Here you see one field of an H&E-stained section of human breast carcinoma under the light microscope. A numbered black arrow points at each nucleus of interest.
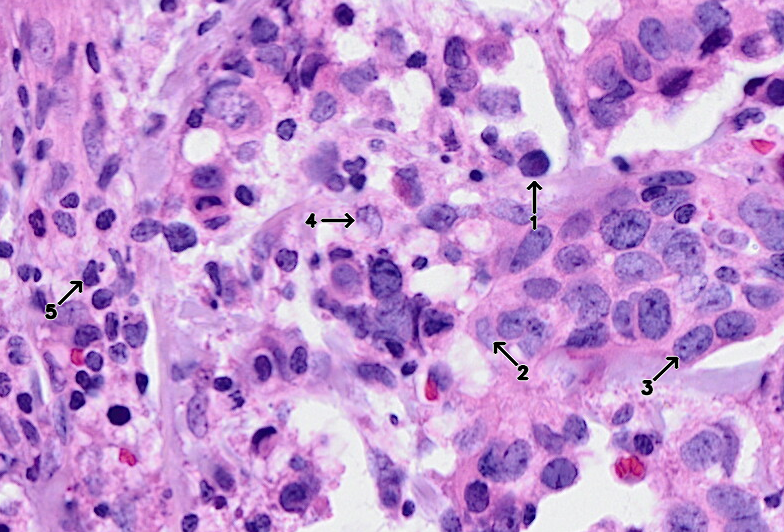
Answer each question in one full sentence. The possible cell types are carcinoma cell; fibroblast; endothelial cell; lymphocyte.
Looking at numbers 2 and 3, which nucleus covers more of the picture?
At about 2 times the area of nucleus 2, nucleus 3 is the larger of the two.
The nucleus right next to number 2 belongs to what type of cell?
The nucleus nearest to number 2 is that of a carcinoma cell.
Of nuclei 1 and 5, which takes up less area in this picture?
Nucleus 5 is the smaller one; nucleus 1 covers about 2 times its area.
